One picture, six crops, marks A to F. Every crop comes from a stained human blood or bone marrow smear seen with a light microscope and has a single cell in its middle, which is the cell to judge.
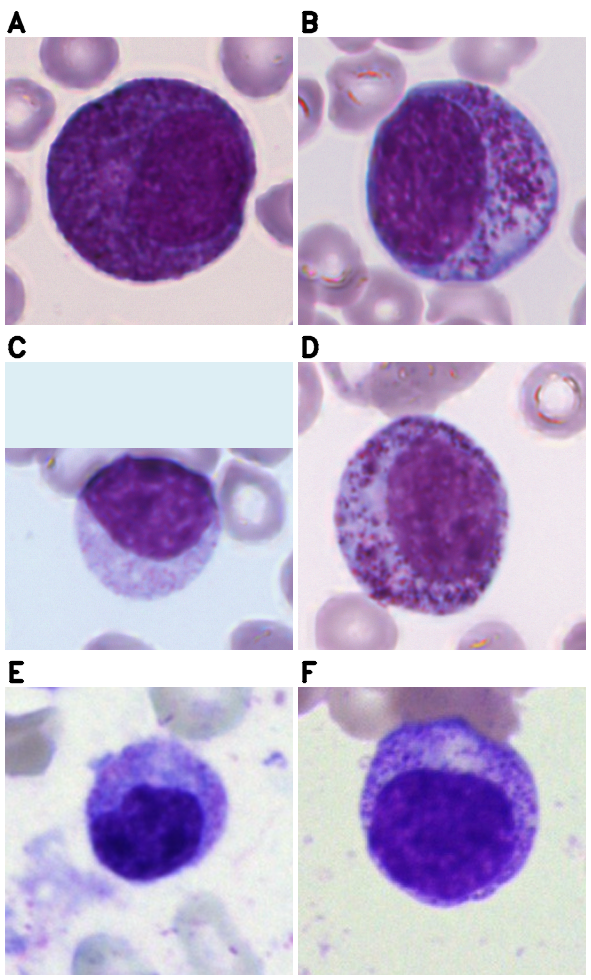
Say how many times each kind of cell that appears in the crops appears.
promyelocyte: 3
myelocyte: 3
